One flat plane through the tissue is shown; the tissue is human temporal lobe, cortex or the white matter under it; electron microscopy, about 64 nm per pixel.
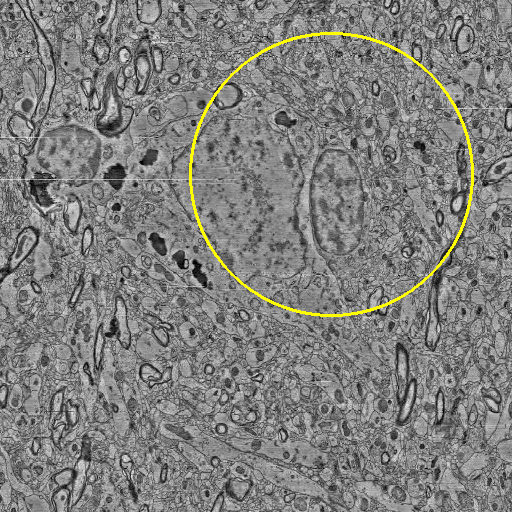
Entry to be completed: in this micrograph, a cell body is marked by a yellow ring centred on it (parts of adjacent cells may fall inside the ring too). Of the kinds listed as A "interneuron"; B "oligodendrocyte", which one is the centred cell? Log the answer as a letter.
B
